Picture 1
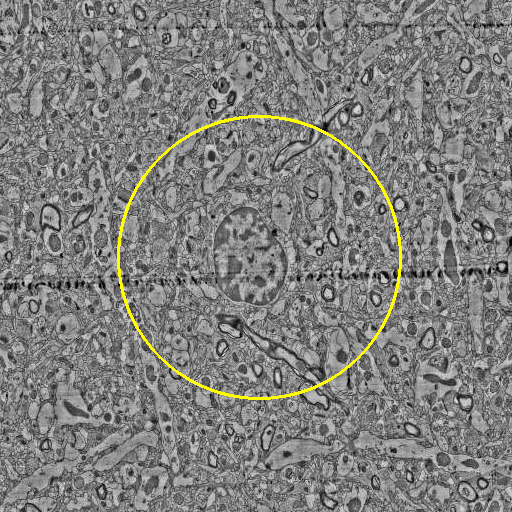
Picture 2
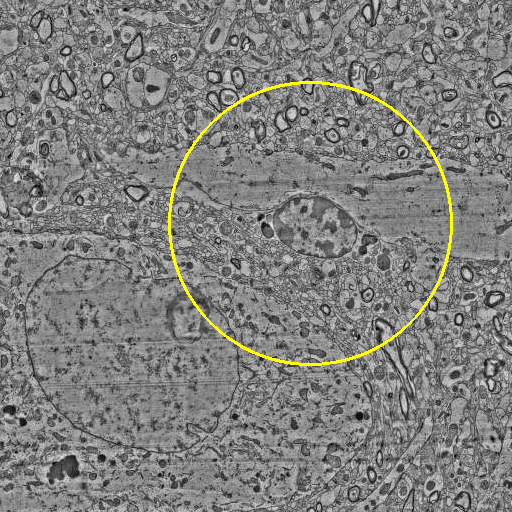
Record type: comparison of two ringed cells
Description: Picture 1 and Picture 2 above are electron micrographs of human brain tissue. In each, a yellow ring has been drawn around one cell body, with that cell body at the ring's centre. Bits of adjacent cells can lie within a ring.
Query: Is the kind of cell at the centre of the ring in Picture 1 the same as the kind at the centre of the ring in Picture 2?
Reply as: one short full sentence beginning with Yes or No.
Yes, the two ringed cells are of the same kind.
